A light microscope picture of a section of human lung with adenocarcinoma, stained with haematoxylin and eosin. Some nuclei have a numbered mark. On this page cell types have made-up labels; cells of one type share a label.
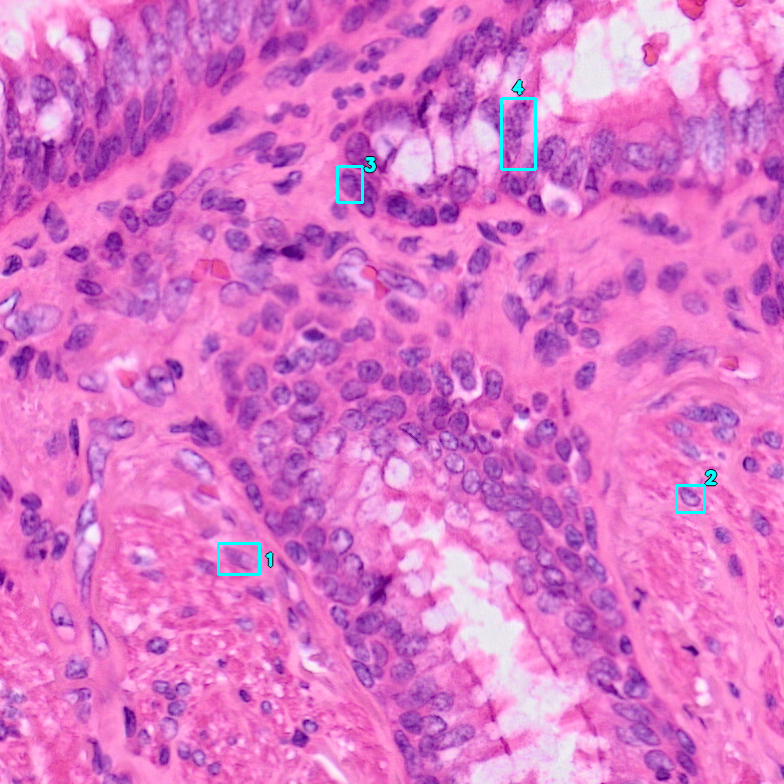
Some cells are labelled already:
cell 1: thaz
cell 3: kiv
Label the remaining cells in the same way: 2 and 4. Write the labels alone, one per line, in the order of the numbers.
thaz
kiv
